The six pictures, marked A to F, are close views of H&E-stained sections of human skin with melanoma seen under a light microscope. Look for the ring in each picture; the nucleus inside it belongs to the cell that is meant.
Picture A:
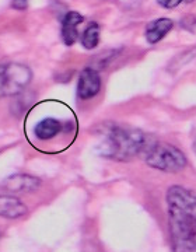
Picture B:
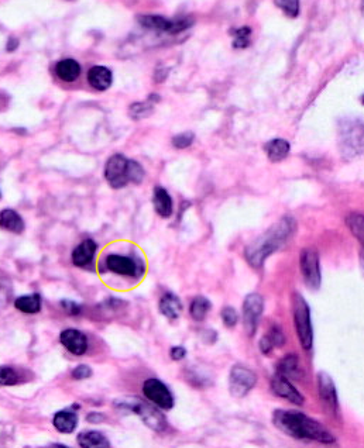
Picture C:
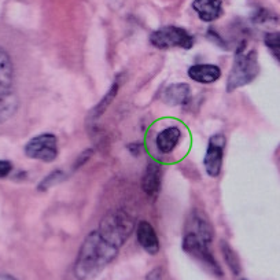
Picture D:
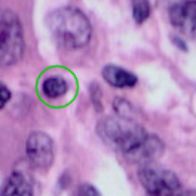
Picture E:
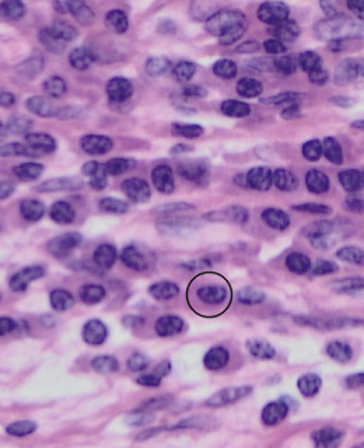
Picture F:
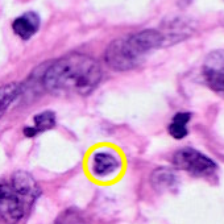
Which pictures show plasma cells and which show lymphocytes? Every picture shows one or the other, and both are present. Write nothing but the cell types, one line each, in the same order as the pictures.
lymphocyte
plasma cell
lymphocyte
lymphocyte
plasma cell
lymphocyte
